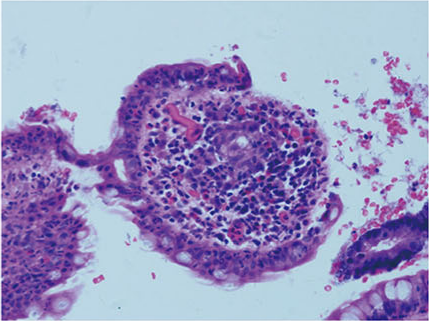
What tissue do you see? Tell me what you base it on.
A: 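Villus. A finger-like projection cut across, covered by a single layer of columnar epithelium. The core is filled with densely packed inflammatory cells.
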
